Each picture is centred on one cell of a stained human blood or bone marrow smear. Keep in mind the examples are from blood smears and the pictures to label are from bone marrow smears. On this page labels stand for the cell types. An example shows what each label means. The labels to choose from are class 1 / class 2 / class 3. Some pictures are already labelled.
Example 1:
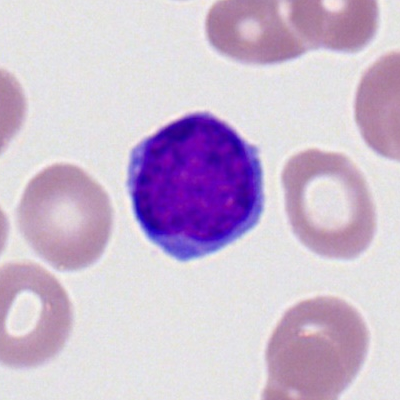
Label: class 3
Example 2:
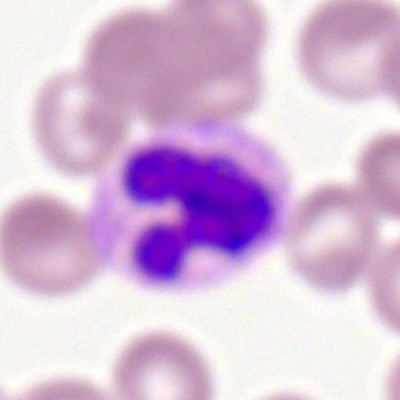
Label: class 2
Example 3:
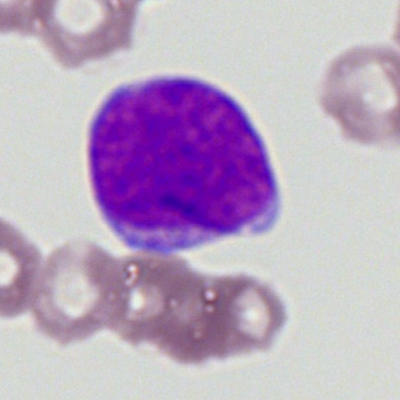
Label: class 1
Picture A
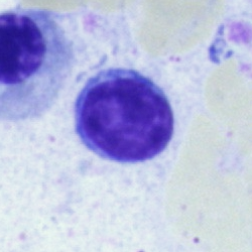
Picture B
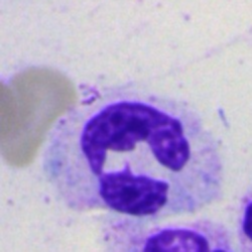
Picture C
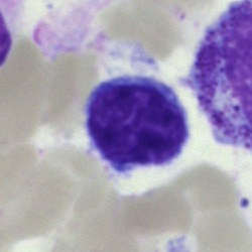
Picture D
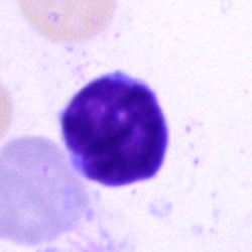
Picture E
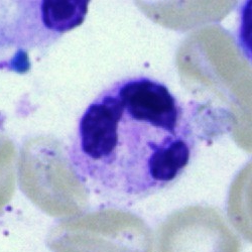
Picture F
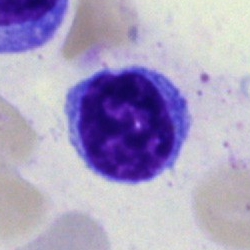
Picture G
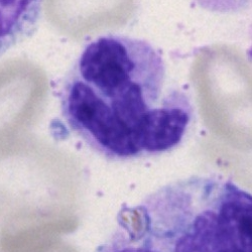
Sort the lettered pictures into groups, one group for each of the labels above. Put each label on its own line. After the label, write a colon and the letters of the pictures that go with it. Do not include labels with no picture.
class 2: B, E, G
class 3: A, C, D, F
